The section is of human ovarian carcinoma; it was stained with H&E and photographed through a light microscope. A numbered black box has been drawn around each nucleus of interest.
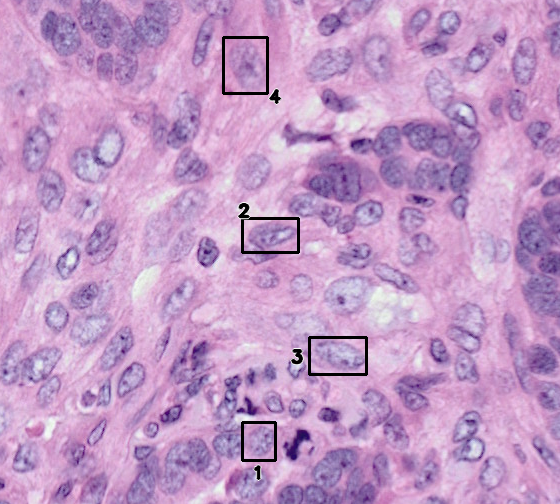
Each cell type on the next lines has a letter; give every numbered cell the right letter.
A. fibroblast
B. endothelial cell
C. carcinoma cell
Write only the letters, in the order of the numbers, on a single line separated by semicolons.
C; A; A; A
